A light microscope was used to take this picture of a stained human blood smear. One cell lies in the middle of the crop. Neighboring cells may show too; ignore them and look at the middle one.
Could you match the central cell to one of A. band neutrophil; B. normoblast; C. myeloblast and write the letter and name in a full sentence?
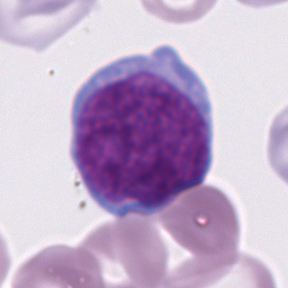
The correct response is option C, naming the cell in the middle as a myeloblast.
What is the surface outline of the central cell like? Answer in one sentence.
A smooth outline is absent here, replaced by ragged stretches or projections.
